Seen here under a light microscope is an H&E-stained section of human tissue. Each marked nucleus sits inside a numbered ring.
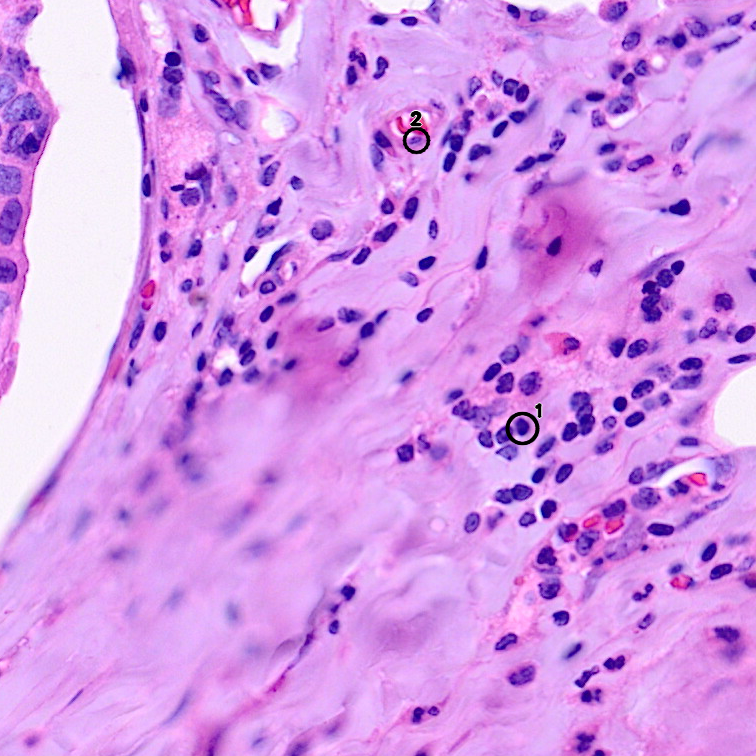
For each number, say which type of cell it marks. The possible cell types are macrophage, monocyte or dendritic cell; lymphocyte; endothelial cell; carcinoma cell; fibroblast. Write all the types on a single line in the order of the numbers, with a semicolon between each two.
lymphocyte; endothelial cell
